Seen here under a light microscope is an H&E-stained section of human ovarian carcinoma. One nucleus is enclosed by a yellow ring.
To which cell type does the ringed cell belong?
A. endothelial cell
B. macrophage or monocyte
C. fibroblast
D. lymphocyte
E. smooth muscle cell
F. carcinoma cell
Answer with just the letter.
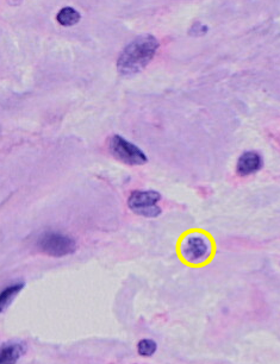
D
